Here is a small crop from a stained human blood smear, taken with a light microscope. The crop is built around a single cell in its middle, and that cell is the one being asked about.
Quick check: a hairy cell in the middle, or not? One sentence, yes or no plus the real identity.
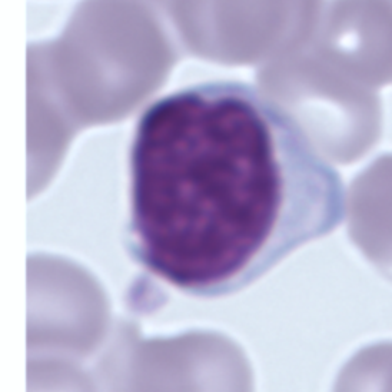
No, the correct answer for the middle cell is a large granular lymphocyte, not a hairy cell.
